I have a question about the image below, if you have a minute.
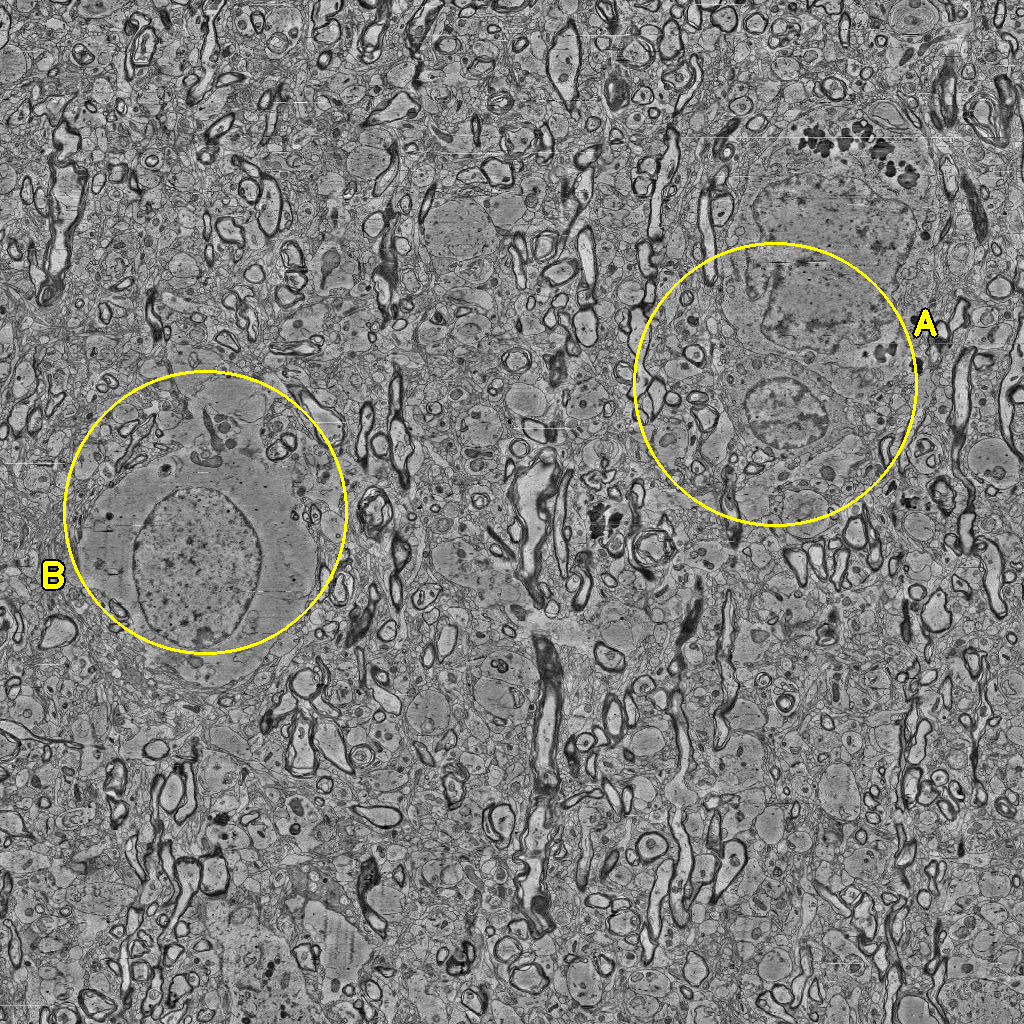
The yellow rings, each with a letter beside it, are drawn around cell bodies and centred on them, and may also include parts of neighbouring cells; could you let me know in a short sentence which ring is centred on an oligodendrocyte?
Ring A is centred on it.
